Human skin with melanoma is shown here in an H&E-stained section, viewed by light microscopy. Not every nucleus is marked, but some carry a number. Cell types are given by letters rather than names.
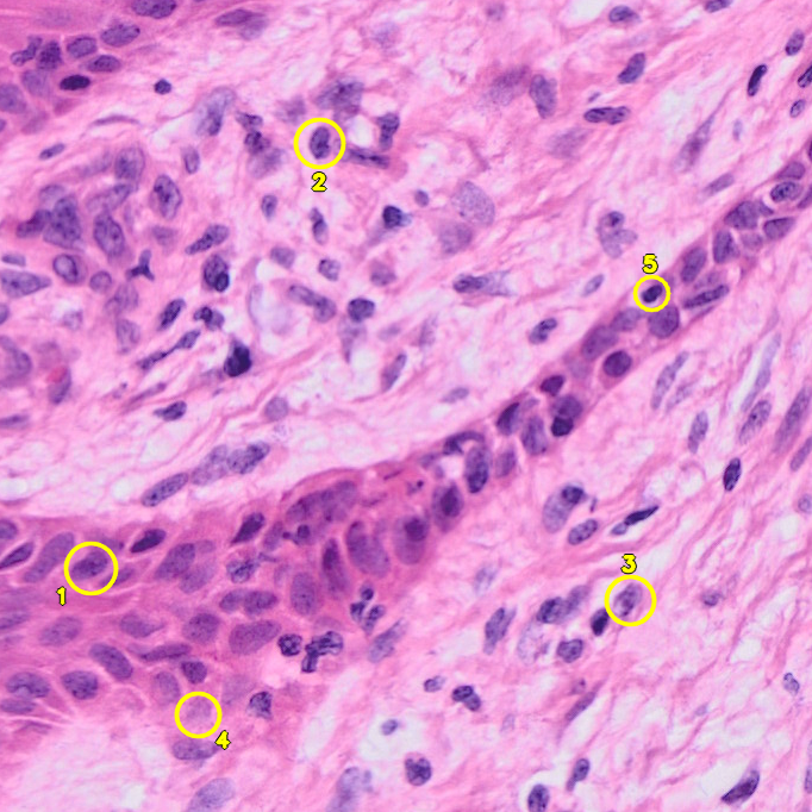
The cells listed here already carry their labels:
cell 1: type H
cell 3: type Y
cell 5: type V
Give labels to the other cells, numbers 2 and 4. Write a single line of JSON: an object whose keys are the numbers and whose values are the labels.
{"2": "type V", "4": "type H"}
